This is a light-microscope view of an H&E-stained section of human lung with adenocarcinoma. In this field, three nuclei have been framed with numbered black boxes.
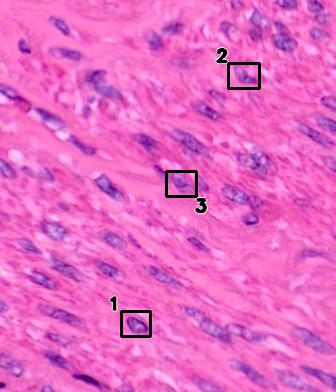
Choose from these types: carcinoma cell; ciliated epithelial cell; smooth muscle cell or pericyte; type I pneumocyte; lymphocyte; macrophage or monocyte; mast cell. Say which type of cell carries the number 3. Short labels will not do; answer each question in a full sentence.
The cell assigned the number 3 is a smooth muscle cell or pericyte.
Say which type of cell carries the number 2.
The cell to which the number 2 is assigned is a smooth muscle cell or pericyte.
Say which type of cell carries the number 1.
Denoted by the label 1 in the section is a mast cell.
